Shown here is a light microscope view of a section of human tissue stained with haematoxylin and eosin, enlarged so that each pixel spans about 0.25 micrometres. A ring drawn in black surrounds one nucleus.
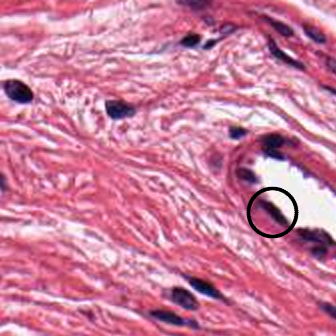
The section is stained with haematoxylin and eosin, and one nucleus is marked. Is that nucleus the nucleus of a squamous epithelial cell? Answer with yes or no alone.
no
